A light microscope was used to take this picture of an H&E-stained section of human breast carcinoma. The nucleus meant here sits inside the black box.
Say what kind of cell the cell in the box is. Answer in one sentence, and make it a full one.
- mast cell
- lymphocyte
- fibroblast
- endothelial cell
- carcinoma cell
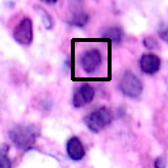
At the level of cell identity, the cell in the box is a lymphocyte.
